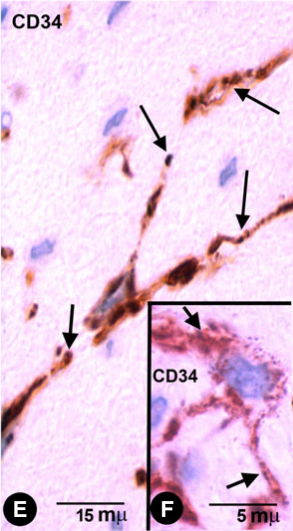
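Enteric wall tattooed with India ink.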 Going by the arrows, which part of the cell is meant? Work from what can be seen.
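Intracellular pigment. Black dots lie inside brown-stained elongated processes. The granules follow the line of the processes.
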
